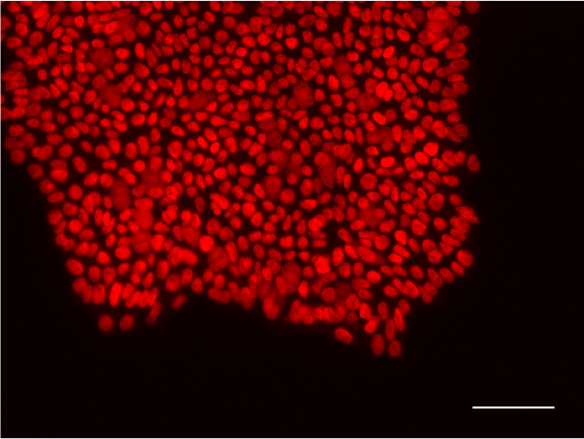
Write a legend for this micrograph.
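A compact colony of densely packed small cells with a sharp border against the dark, empty surroundings. Nearly every cell has an oval nucleus filled with red signal, and the nuclei lie close together with little space between them.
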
